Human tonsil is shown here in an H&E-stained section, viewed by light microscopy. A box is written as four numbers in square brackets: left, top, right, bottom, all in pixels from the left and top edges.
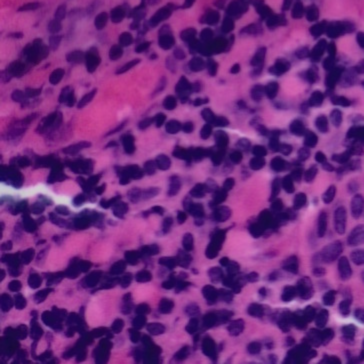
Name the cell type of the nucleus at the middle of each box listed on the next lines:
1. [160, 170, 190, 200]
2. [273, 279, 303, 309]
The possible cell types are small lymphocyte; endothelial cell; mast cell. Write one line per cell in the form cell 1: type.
cell 1: endothelial cell
cell 2: small lymphocyte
